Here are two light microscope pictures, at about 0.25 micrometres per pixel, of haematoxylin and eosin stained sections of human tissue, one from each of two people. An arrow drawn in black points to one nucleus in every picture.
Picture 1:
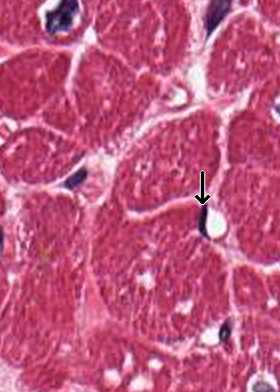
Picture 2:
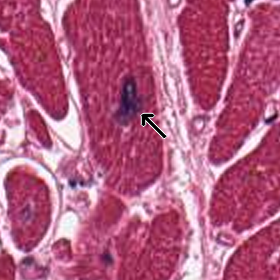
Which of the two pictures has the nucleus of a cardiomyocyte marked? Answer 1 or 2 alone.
2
